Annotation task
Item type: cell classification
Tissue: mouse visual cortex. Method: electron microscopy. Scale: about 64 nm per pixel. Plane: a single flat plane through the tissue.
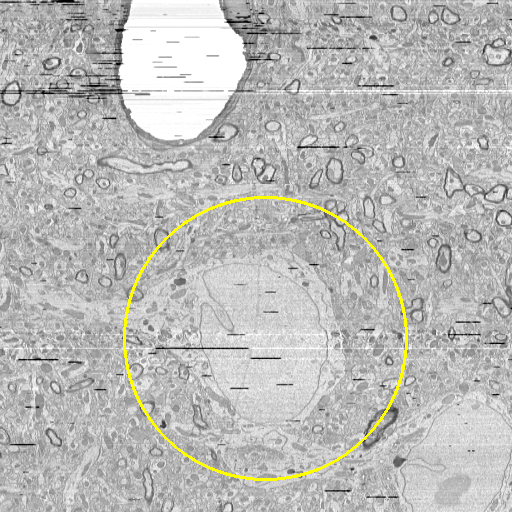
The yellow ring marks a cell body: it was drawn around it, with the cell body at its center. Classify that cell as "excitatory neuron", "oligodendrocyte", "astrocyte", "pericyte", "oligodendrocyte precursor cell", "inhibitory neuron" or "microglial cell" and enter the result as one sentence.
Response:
The ring's center falls on an excitatory neuron.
